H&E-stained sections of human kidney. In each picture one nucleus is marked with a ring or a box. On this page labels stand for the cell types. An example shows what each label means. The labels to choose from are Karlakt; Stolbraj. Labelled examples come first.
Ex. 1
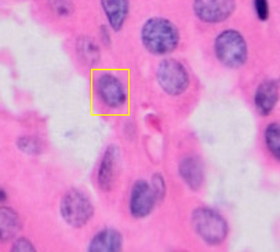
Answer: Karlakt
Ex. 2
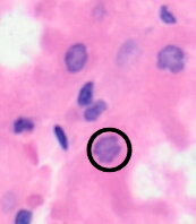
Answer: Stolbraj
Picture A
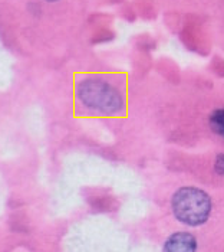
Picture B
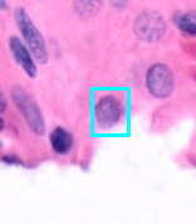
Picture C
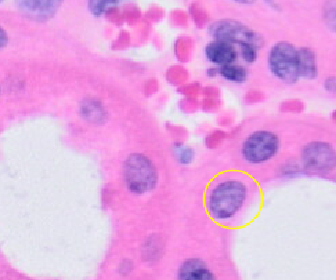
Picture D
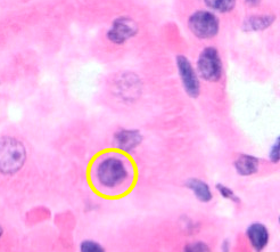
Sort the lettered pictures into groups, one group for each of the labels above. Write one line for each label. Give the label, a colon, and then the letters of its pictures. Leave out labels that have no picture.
Karlakt: B, C
Stolbraj: A, D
